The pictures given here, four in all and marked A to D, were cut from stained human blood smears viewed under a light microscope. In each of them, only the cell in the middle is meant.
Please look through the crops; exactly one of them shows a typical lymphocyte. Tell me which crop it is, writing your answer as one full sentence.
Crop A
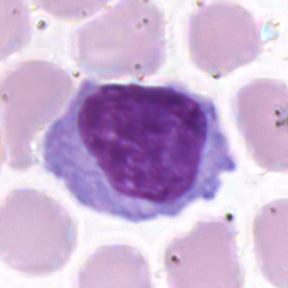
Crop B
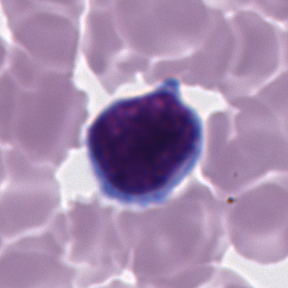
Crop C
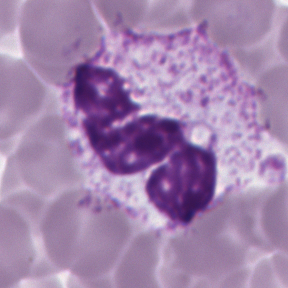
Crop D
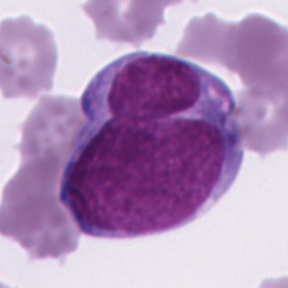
Crop B is the one in this set that shows a typical lymphocyte.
